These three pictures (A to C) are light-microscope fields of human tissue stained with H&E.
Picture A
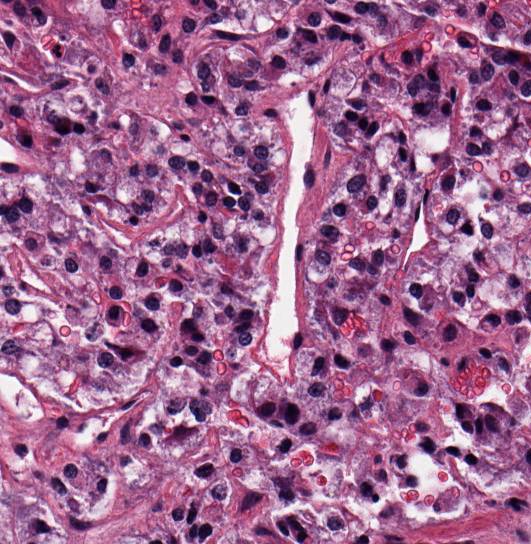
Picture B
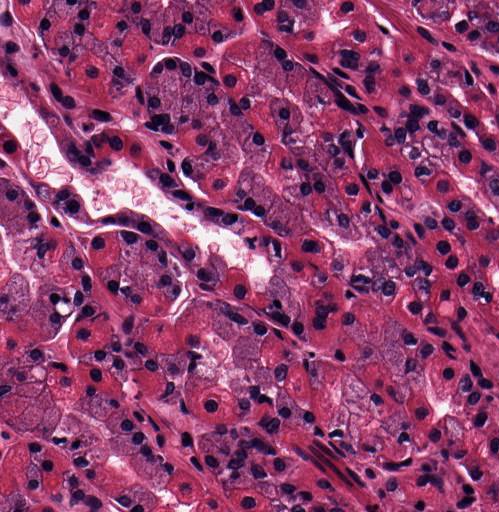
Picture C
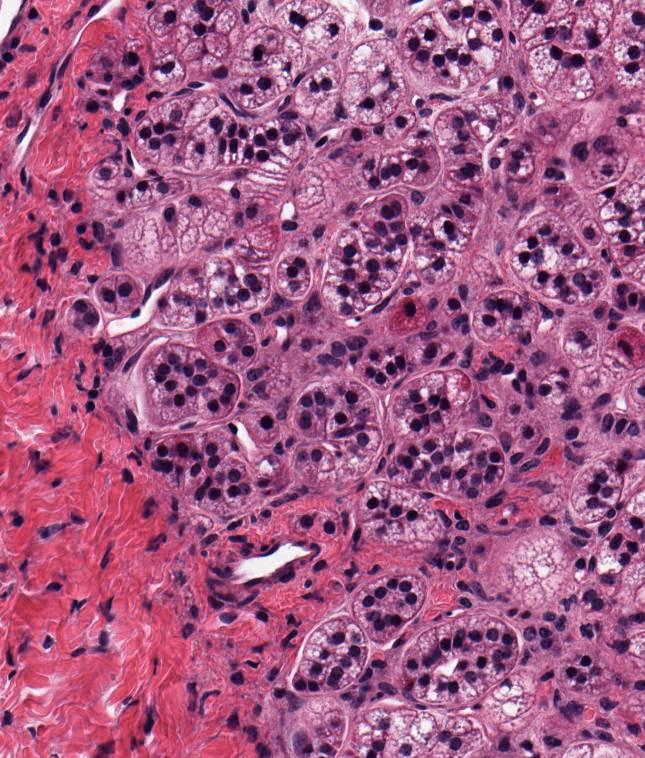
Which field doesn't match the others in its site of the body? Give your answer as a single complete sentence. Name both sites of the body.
Picture B is the odd one out: it comes from the stomach, while the others come from the adrenal gland.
